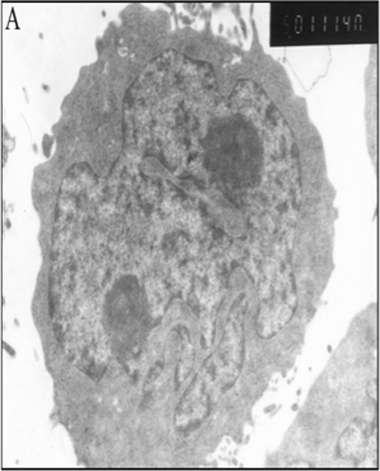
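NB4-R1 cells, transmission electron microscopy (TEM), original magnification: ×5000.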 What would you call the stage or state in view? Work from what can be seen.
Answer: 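Intact nuclei and membrane. A single large nucleus with a continuous nuclear envelope fills most of the cell. The cell surface is bounded by a continuous plasma membrane. Chromatin is finely dispersed, with dark nucleoli.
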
